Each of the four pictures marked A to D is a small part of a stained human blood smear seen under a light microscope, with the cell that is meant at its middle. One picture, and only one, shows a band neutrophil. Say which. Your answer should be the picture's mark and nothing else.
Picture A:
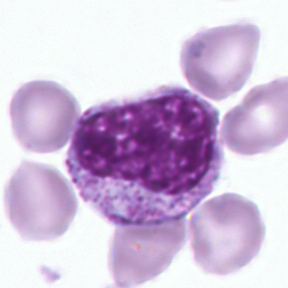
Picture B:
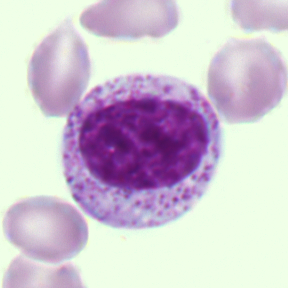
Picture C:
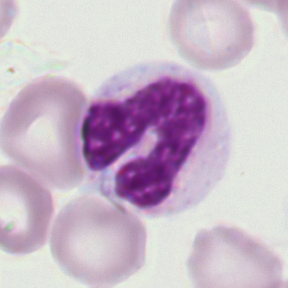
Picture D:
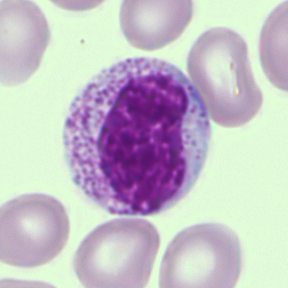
C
